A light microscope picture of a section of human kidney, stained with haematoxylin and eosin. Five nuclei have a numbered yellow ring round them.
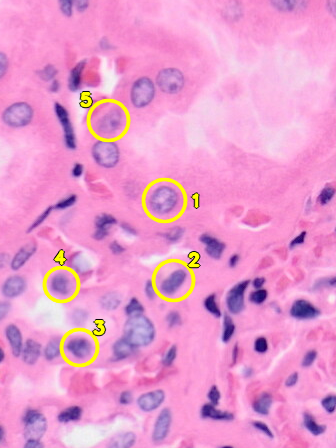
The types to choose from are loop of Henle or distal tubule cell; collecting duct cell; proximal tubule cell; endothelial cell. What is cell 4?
collecting duct cell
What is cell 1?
proximal tubule cell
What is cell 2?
collecting duct cell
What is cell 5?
proximal tubule cell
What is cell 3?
collecting duct cell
